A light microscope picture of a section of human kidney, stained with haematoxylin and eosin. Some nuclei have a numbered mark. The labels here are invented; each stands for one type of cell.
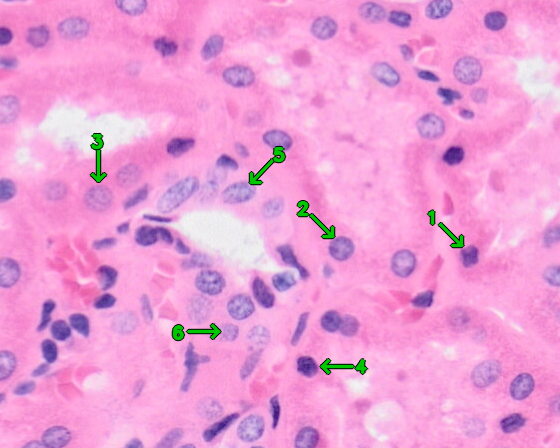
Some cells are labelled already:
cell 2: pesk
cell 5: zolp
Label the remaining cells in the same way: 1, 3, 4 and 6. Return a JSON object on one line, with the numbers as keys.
{"1": "pesk", "3": "pesk", "4": "pesk", "6": "zolp"}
